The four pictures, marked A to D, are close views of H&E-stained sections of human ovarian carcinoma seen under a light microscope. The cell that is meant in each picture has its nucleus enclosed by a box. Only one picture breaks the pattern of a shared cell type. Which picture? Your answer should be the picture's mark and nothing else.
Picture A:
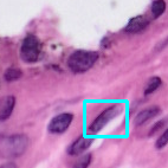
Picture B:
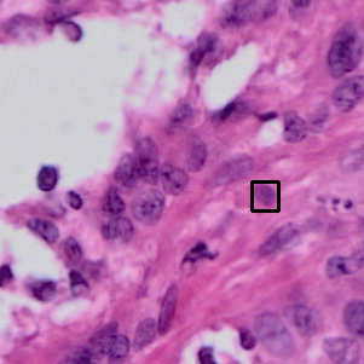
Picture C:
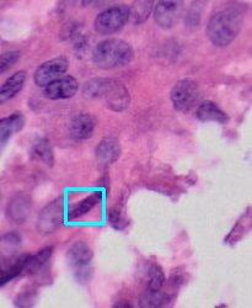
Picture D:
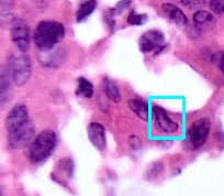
D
